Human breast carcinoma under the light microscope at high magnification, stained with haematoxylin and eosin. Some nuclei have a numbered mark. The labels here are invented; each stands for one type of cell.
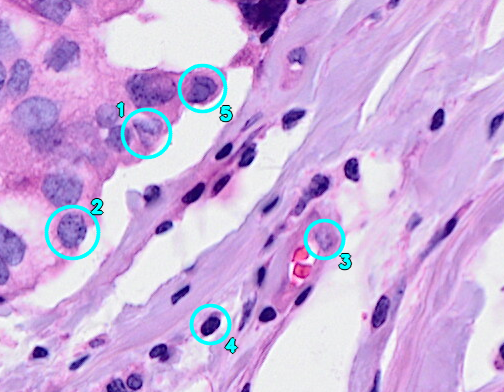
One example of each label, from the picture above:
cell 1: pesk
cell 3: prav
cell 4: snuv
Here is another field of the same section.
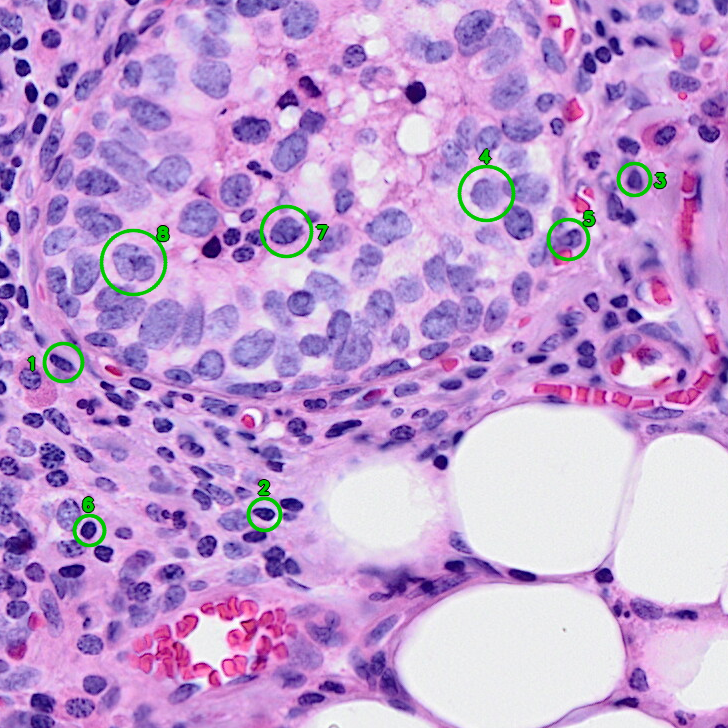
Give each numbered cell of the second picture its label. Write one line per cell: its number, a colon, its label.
1: snuv
2: snuv
3: snuv
4: pesk
5: prav
6: snuv
7: pesk
8: pesk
